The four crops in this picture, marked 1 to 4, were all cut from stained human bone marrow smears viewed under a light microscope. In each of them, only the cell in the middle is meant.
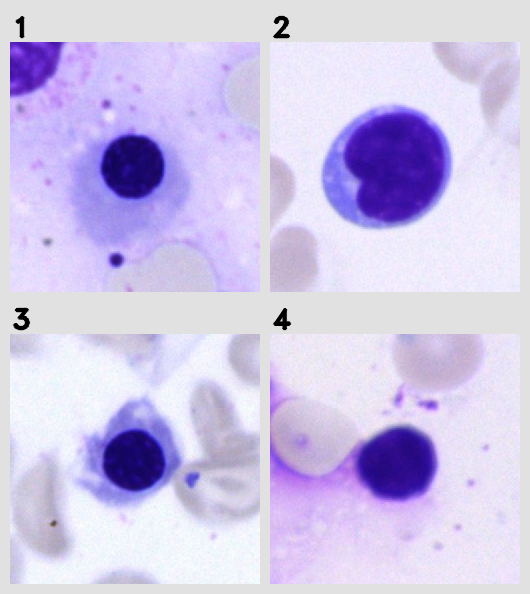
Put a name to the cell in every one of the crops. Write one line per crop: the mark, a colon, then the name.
1: normoblast
2: lymphocyte
3: normoblast
4: lymphocyte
